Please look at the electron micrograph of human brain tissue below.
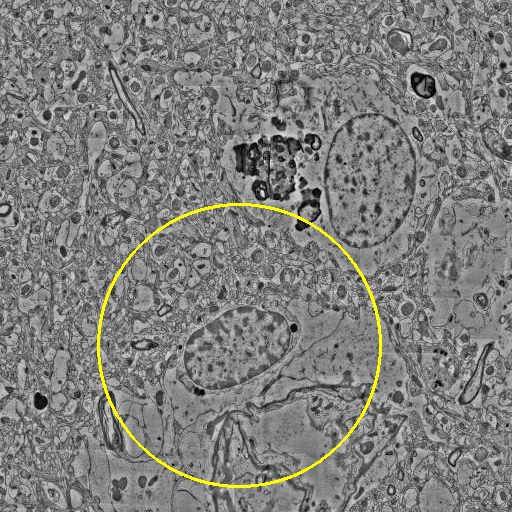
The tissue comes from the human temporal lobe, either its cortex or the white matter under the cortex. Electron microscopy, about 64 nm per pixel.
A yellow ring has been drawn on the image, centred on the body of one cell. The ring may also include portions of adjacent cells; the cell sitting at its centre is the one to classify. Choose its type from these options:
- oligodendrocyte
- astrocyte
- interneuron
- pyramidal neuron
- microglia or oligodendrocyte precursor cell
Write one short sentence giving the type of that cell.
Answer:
The cell in the middle of the ring is a microglial cell or oligodendrocyte precursor cell.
